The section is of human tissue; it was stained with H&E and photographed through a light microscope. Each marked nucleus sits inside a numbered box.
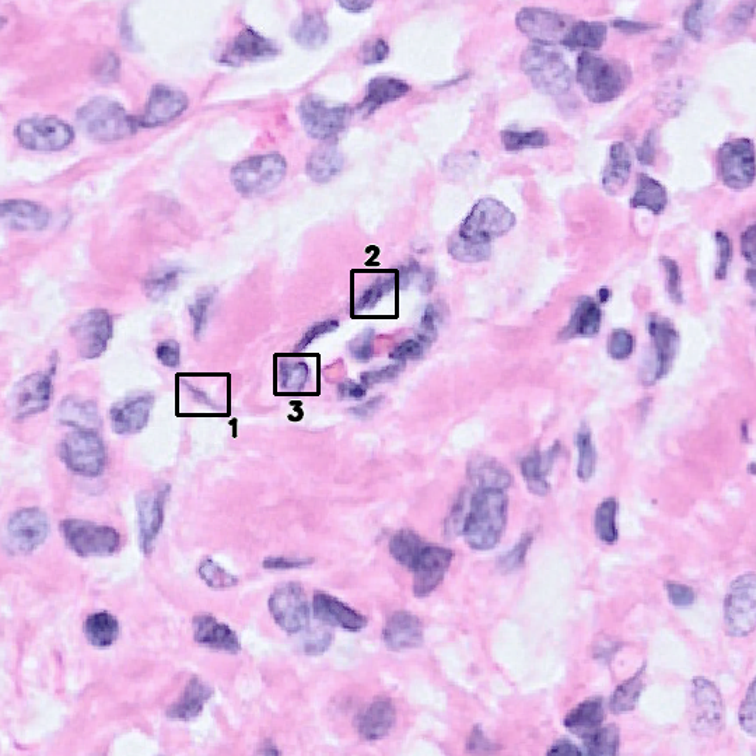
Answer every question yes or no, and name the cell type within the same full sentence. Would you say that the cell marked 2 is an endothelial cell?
Yes, of the numbered cells, number 2 is an endothelial cell.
